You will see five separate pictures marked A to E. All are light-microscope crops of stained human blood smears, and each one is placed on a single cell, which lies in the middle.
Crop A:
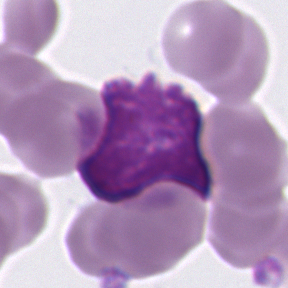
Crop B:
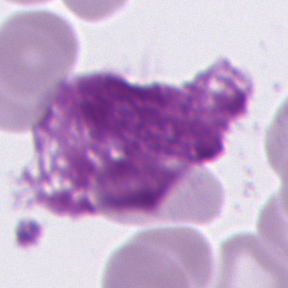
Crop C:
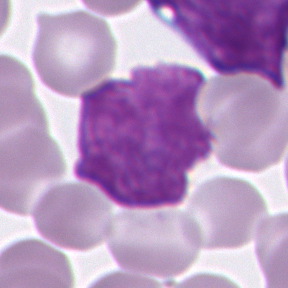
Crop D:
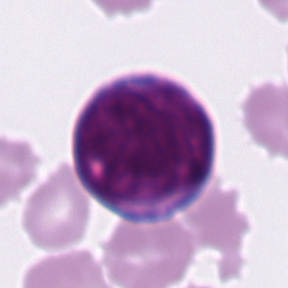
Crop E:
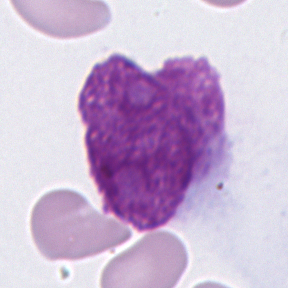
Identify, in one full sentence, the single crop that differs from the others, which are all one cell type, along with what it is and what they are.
In this set, all crops show smudge cells apart from crop D, which is a myeloblast.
